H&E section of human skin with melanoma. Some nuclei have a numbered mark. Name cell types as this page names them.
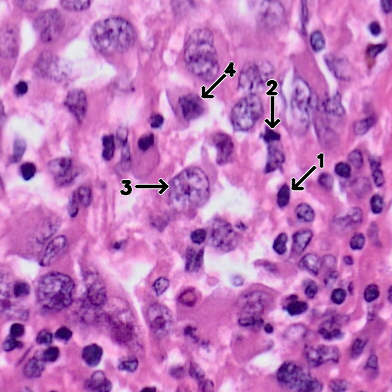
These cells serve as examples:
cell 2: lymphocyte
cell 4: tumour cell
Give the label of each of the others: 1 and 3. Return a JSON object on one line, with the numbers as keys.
{"1": "lymphocyte", "3": "tumour cell"}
